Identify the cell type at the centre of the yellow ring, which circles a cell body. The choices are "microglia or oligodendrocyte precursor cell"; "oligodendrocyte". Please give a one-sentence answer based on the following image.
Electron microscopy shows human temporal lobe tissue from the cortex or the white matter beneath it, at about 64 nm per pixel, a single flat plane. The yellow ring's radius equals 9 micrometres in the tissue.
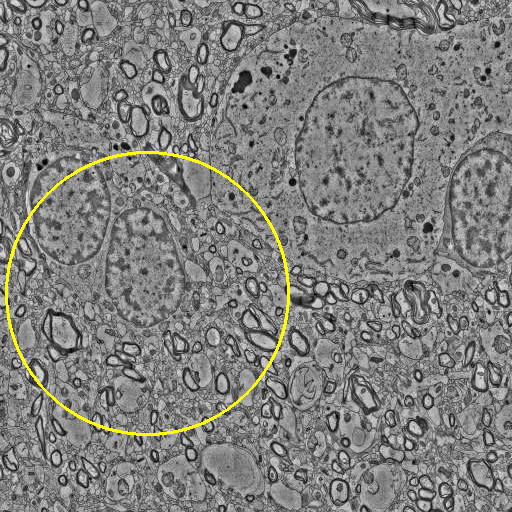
The cell marked by the ring is an oligodendrocyte.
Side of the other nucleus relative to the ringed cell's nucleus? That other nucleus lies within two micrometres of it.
The other nucleus lies to the upper left of it.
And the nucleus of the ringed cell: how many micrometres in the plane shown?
About 7 by 5 micrometers, in this plane.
